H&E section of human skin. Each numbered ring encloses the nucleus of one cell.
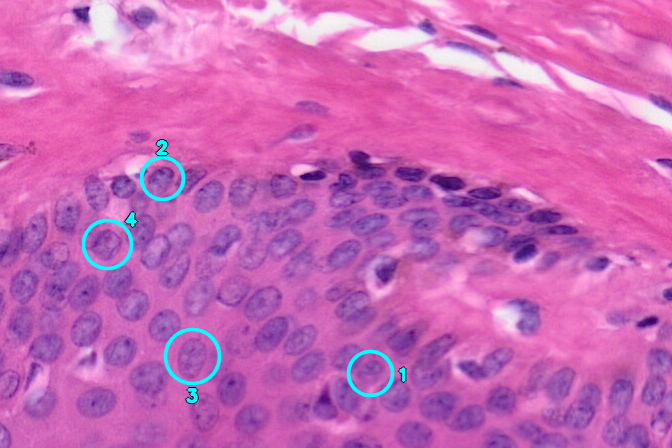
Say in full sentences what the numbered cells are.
Cells 1, 3 and 4 are suprabasal keratinocytes. Cell 2 is a basal keratinocyte.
